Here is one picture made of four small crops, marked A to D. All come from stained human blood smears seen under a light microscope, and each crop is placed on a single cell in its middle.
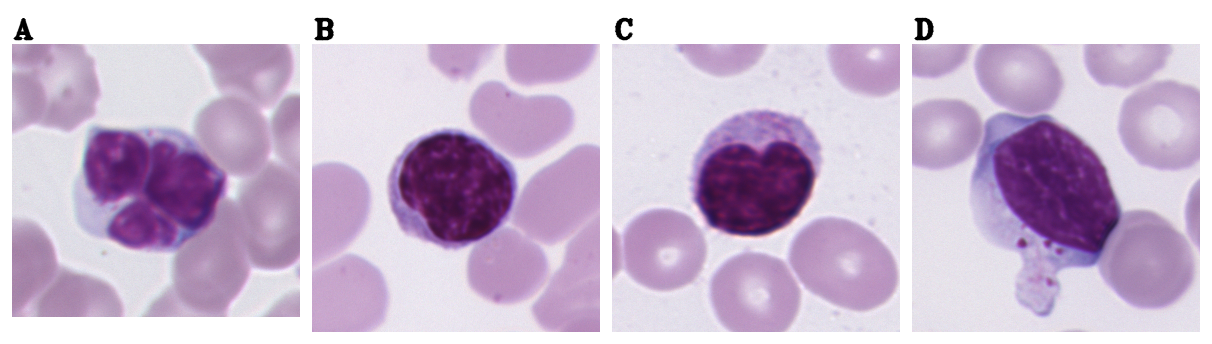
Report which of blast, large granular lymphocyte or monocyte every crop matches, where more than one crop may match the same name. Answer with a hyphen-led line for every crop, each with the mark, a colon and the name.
- A: large granular lymphocyte
- B: blast
- C: large granular lymphocyte
- D: large granular lymphocyte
